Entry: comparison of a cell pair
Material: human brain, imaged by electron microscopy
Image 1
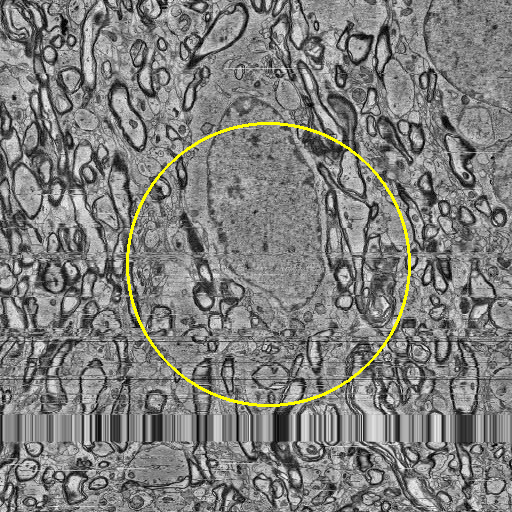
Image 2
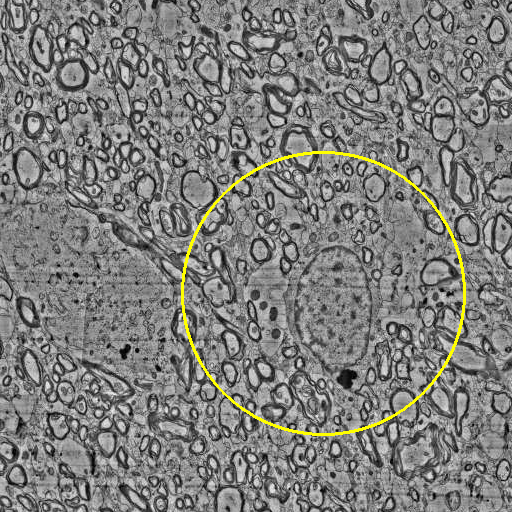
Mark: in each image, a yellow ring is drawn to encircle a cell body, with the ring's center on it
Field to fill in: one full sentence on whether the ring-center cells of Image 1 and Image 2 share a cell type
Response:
No, Image 1 and Image 2 show ring-center cells of two separate types.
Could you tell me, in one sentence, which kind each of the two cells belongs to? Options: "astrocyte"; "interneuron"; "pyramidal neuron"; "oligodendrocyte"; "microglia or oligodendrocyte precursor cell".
At the centre of the first ring sits an astrocyte, and at the centre of the second sits an oligodendrocyte.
